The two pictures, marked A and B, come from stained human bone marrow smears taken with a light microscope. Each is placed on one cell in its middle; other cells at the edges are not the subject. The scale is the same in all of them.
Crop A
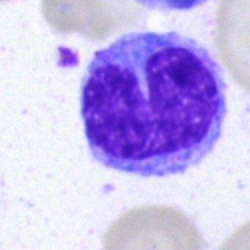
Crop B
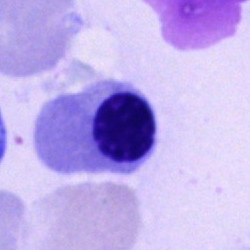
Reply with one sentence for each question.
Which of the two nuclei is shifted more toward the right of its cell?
It is the nucleus in crop B that lies further toward the right of its cell.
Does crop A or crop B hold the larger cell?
The cell in crop A is larger, with about 2 times the area of the one in crop B.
